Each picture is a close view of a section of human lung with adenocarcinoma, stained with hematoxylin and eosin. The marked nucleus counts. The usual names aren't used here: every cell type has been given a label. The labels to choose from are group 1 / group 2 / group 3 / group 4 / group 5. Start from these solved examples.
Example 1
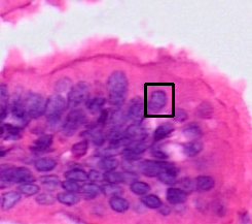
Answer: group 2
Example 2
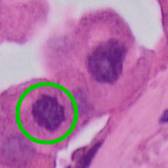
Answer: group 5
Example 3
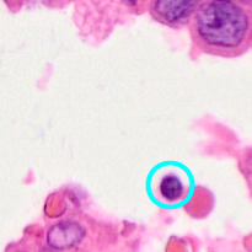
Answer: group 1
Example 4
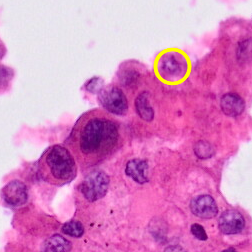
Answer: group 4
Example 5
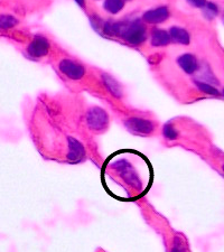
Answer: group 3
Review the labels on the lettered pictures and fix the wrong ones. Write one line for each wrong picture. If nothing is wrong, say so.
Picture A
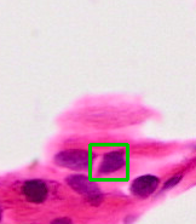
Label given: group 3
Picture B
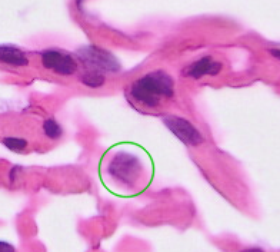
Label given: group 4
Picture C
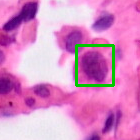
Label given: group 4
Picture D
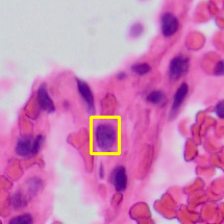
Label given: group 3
B: not group 4 but group 3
